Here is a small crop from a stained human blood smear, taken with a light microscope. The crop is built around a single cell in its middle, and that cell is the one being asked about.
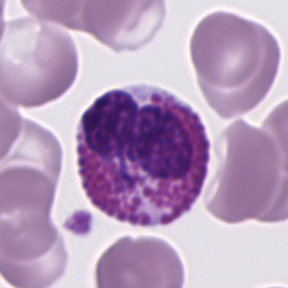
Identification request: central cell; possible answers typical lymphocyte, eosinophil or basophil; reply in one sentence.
The cell in the middle of this crop is an eosinophil.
